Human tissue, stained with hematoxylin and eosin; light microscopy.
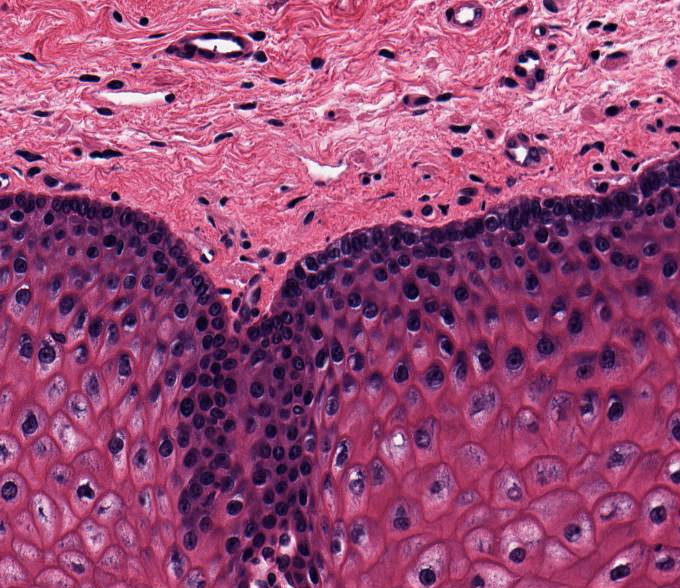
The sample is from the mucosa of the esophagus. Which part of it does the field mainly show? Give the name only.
stratified squamous nonkeratinized epithelium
